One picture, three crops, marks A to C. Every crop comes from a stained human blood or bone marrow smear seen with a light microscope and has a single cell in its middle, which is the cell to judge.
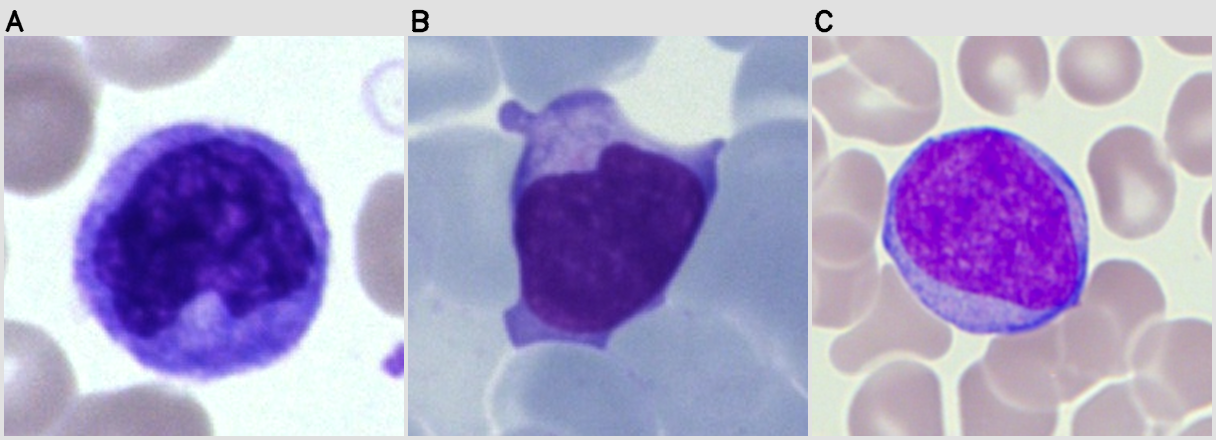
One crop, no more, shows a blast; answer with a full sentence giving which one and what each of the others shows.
Crop C is to be called a blast, while crop A is a monocyte and crop B is a lymphocyte.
